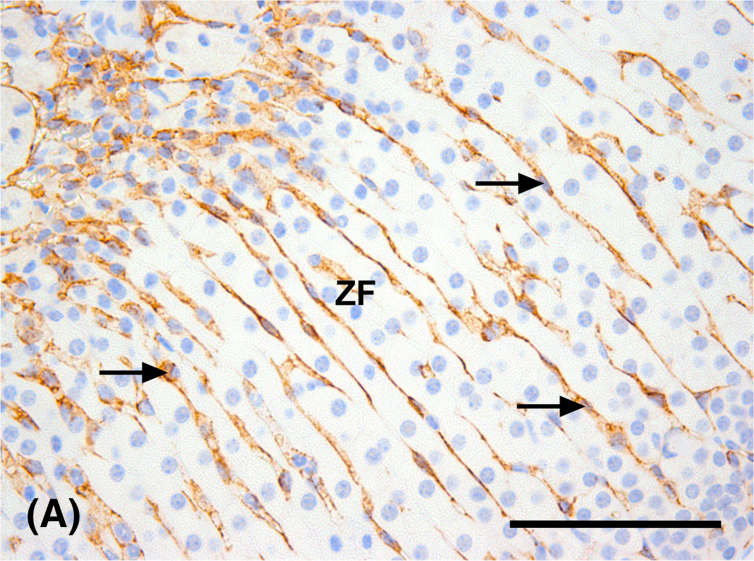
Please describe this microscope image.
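Large pale cells with round blue nuclei and clear, foamy-looking cytoplasm are arranged in long parallel cords. Between nearly every cord runs a thin brown-stained vascular strand, some carrying small flattened nuclei. Toward the upper left the brown network becomes denser and more tangled where the cords are less regular. The overall impression is of a rich, regularly spaced vascular meshwork separating the columns of cortical cells.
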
